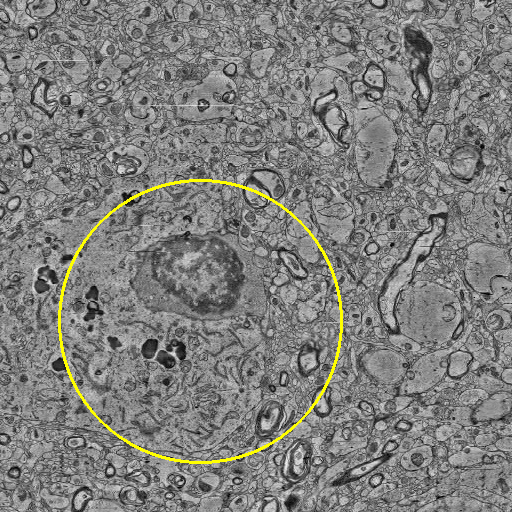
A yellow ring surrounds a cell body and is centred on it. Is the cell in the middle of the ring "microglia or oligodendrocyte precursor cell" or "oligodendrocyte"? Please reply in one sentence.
The ring is centred on an oligodendrocyte.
